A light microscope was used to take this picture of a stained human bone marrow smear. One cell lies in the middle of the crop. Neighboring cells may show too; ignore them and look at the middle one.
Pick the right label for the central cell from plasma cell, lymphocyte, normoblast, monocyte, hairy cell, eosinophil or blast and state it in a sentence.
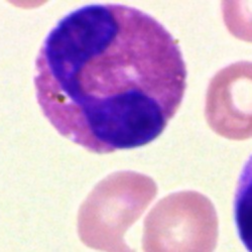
For this crop, the central cell is an eosinophil.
